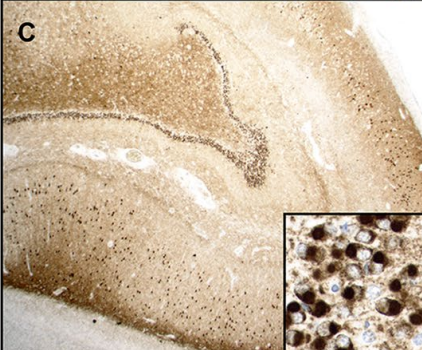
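A low-power section of the hippocampus on a brown background shows the thin, darkly stained granule cell layer of the dentate gyrus folded into a C shape. Numerous dark brown dots are scattered through the surrounding hippocampal tissue. The inset shows tightly packed small round granule cells. Many of them contain a dark brown round inclusion in the cytoplasm next to a paler nucleus.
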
